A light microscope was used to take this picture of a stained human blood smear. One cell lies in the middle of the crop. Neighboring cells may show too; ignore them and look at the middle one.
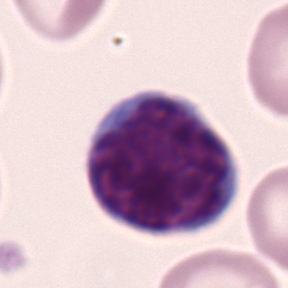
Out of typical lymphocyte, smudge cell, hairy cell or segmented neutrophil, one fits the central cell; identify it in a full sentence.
In the center of this field lies a typical lymphocyte.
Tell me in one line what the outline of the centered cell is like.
The border of this cell runs smooth and free of any projections.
